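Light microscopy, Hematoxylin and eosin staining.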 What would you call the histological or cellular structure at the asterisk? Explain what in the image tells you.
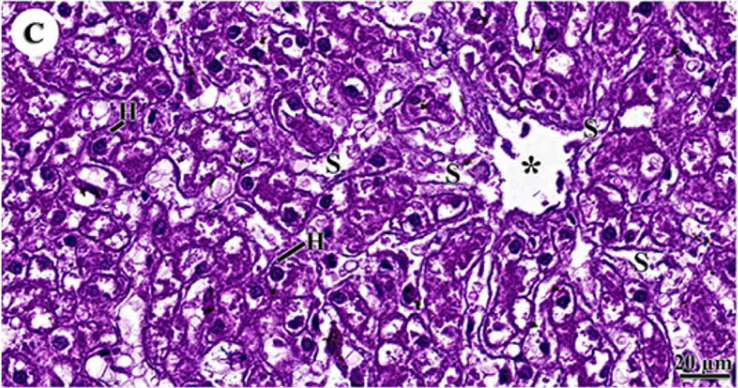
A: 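Central vein. Plates of polygonal cells and narrow channels converge radially on this lumen.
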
